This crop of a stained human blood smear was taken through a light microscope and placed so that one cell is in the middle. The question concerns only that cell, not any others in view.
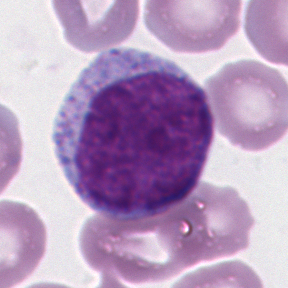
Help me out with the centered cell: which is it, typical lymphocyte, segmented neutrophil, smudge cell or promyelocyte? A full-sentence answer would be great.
In this crop, the cell at the very middle is a promyelocyte.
